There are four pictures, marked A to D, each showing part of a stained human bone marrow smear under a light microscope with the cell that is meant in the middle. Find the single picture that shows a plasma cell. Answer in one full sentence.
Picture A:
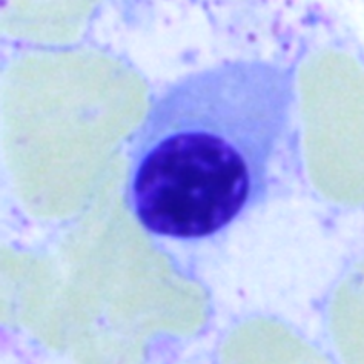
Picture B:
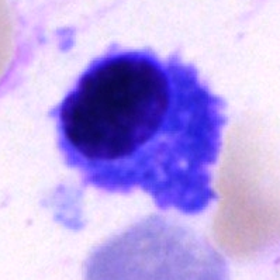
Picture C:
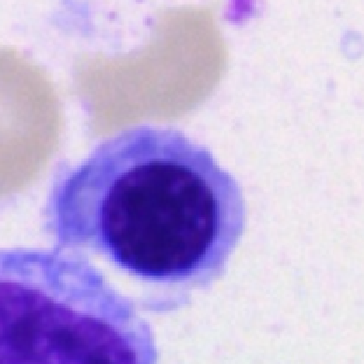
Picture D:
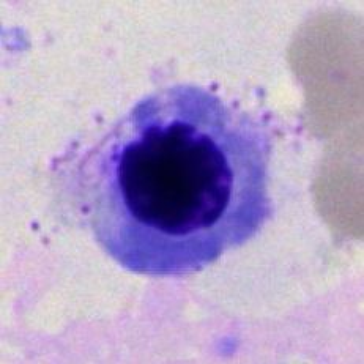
The cell in picture B is the plasma cell.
